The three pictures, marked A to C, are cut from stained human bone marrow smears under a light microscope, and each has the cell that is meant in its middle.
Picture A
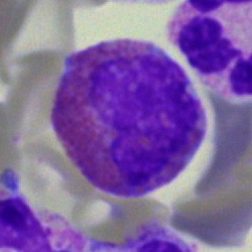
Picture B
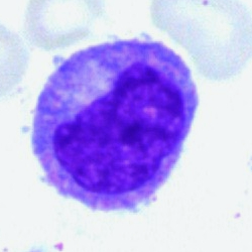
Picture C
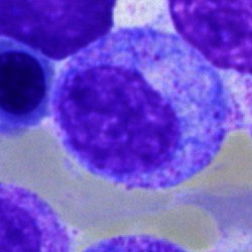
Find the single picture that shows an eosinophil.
A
